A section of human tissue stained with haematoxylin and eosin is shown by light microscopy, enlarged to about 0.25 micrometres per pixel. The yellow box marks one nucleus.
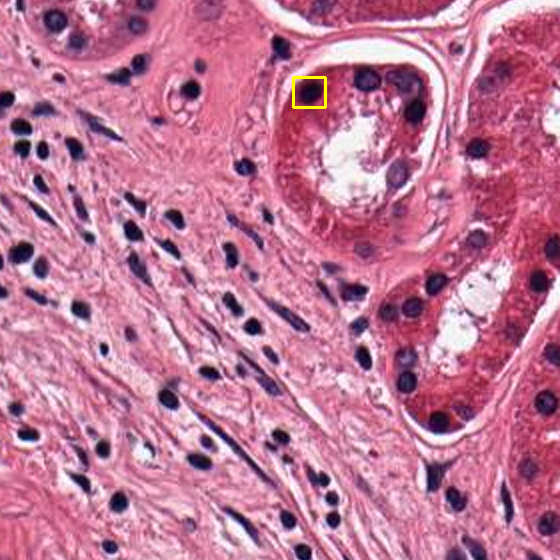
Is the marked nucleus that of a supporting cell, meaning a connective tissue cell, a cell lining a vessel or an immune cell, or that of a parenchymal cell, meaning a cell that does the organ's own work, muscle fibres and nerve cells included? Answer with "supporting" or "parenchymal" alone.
parenchymal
